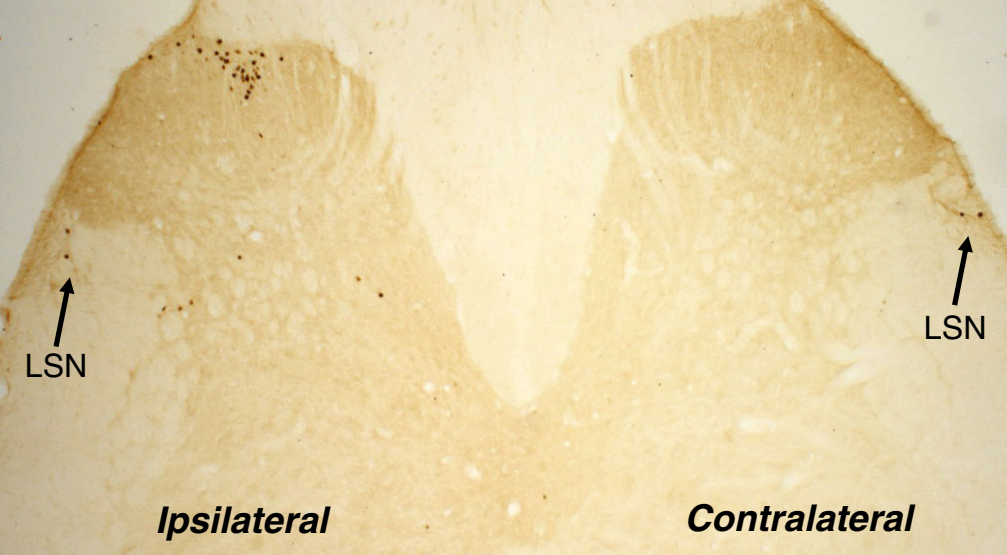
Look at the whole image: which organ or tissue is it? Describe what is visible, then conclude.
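Two symmetrical dorsal horns with a darker cap of superficial grey matter on each side. A pale wedge of white matter between the two horns along the midline. Pale white matter surrounds the grey matter at the lateral edges. On this evidence: spinal cord.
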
